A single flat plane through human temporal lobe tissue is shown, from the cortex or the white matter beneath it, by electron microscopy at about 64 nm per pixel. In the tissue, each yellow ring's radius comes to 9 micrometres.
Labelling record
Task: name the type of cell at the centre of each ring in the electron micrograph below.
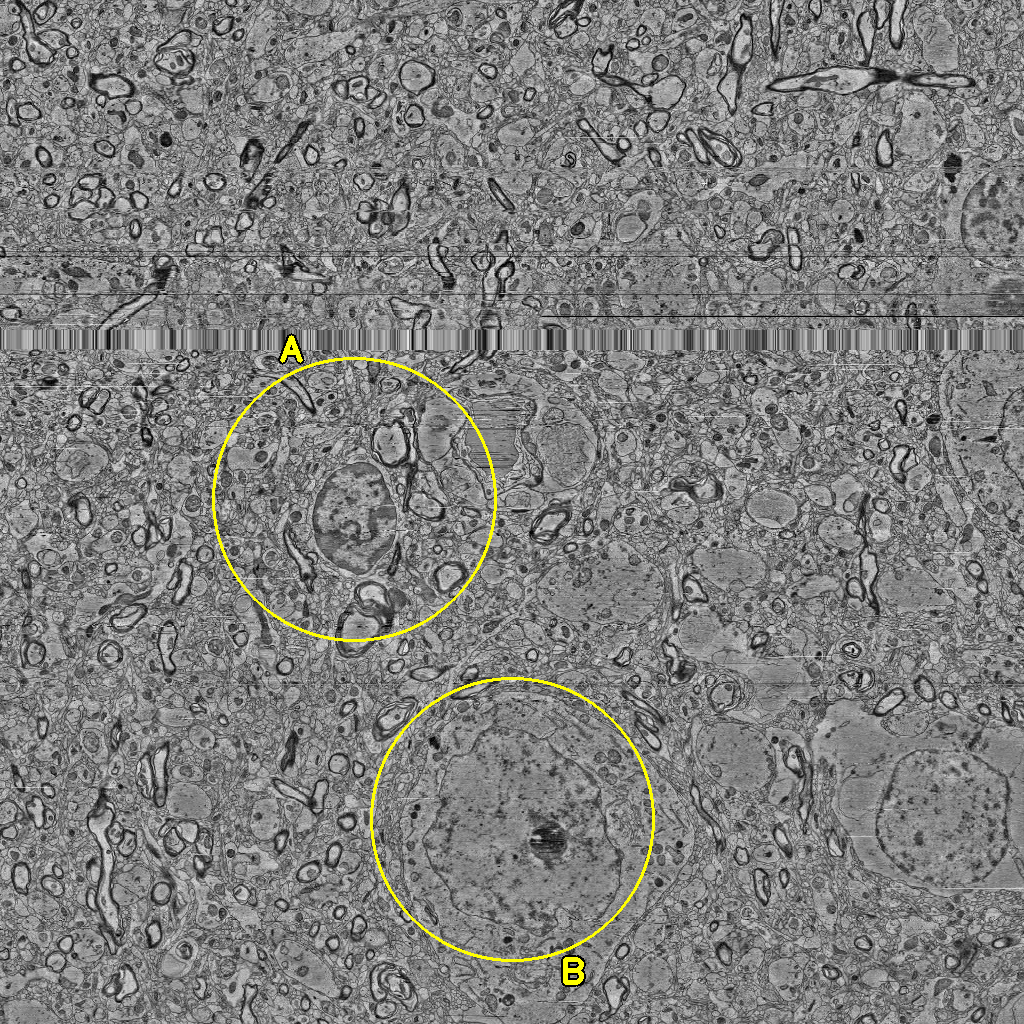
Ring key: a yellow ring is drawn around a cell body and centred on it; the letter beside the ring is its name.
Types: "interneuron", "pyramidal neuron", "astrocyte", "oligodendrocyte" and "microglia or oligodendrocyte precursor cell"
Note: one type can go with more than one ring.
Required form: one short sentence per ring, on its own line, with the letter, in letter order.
In ring A, the centred cell is a microglial cell or oligodendrocyte precursor cell.
In ring B, the centred cell is an interneuron.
